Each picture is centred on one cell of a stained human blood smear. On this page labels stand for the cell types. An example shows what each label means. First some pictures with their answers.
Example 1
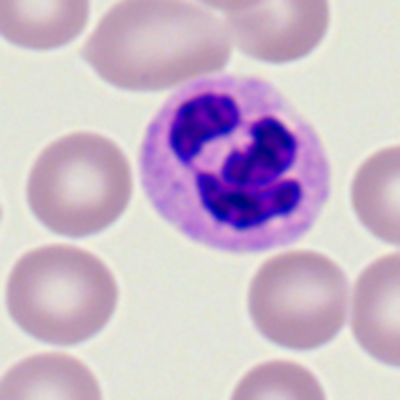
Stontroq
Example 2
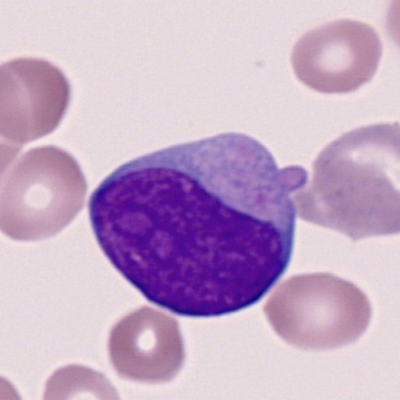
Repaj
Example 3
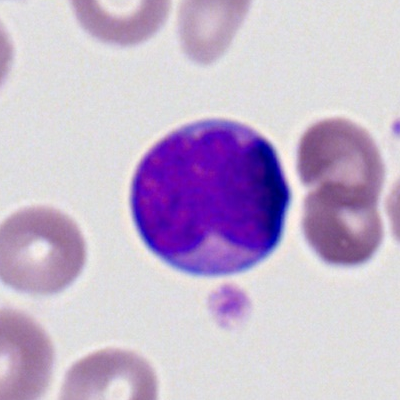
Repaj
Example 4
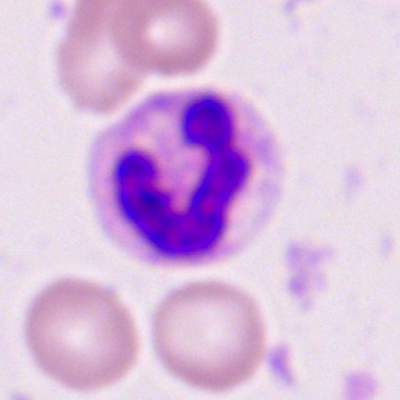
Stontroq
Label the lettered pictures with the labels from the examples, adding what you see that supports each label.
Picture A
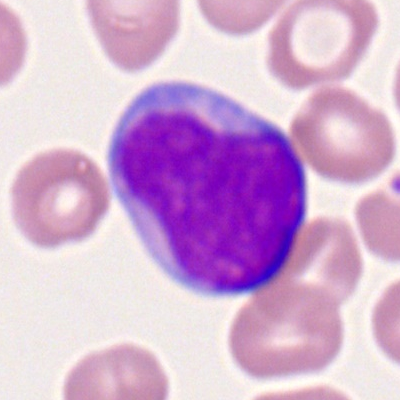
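Answer: Repaj. The cytoplasm is a narrow rim, widest on the left side of the cell.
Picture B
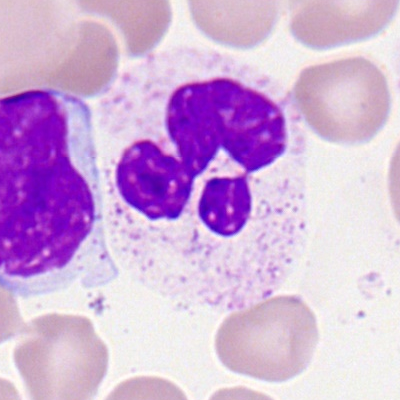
Answer: Stontroq. The cytoplasm is plentiful and very pale pink.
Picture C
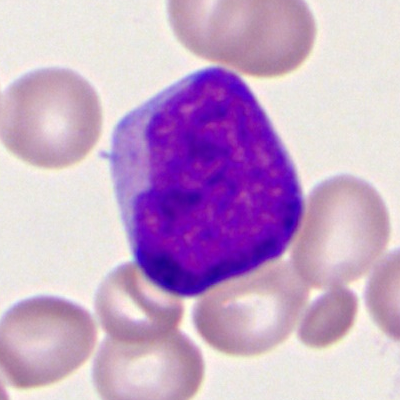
Answer: Repaj. The cytoplasm is a scant pale blue-grey rim, widest on the left side of the cell.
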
